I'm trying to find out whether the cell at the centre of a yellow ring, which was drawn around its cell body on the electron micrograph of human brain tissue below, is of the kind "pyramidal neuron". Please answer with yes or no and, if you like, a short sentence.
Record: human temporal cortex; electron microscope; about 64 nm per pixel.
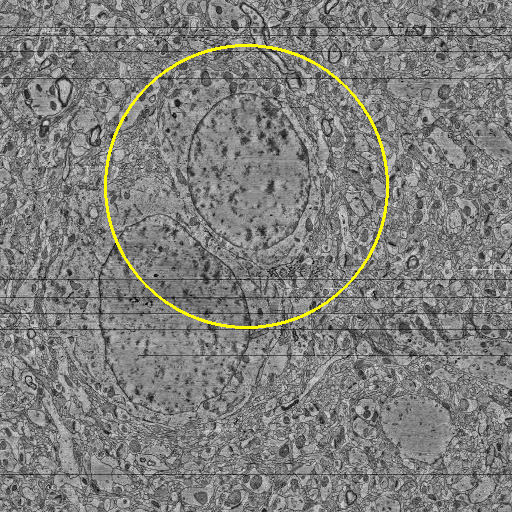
Yes, that cell is of the given kind.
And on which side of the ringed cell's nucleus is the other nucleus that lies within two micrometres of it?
The other nucleus lies to the lower left of it.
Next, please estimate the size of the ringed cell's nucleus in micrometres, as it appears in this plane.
The nucleus is approximately 10 micrometers long by 8 micrometers wide in this plane.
